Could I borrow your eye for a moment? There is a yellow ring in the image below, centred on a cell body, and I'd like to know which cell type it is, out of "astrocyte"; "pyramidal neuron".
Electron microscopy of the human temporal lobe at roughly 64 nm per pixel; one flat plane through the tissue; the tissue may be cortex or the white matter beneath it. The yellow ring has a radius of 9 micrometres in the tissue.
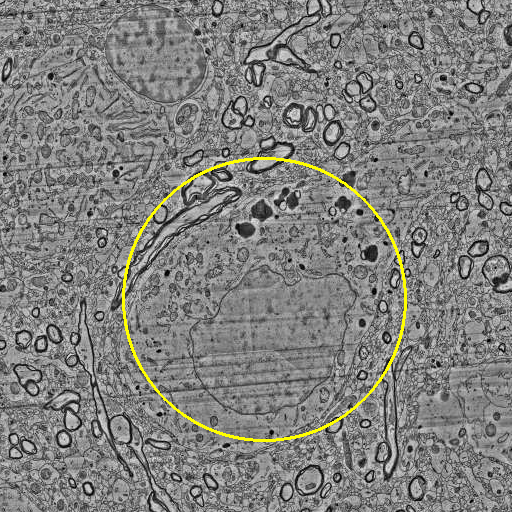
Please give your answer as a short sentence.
The cell body at the centre is that of a pyramidal neuron.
